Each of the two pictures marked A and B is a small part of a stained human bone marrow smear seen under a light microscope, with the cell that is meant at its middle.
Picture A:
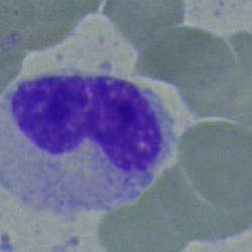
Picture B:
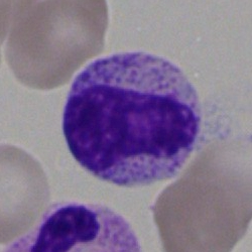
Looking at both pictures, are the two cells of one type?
yes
